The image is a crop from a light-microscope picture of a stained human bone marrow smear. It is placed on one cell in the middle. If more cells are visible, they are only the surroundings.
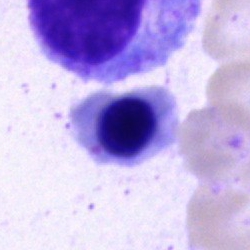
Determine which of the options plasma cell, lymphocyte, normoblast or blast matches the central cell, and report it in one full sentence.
The cell occupying the middle of the crop is a normoblast.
